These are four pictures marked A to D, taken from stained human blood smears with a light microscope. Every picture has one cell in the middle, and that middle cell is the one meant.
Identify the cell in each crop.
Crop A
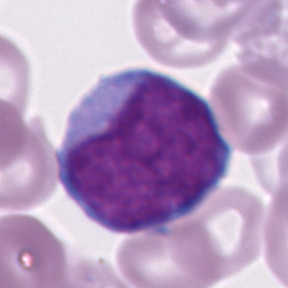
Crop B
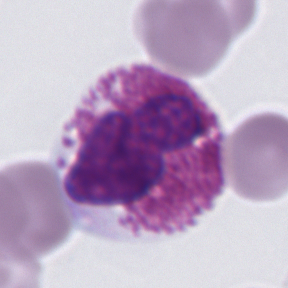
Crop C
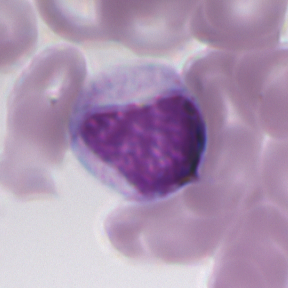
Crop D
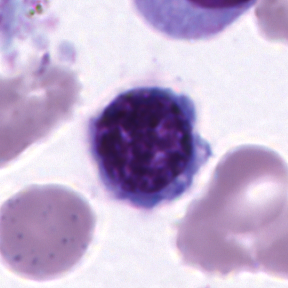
A: myeloblast
B: eosinophil
C: metamyelocyte
D: plasma cell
